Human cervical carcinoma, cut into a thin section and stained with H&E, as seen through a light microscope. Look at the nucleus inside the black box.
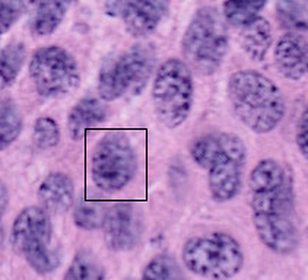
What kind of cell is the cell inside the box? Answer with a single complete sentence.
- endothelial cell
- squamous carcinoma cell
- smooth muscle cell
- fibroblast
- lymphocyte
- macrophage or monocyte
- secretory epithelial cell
Students should answer that the cell inside the box is a squamous carcinoma cell.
